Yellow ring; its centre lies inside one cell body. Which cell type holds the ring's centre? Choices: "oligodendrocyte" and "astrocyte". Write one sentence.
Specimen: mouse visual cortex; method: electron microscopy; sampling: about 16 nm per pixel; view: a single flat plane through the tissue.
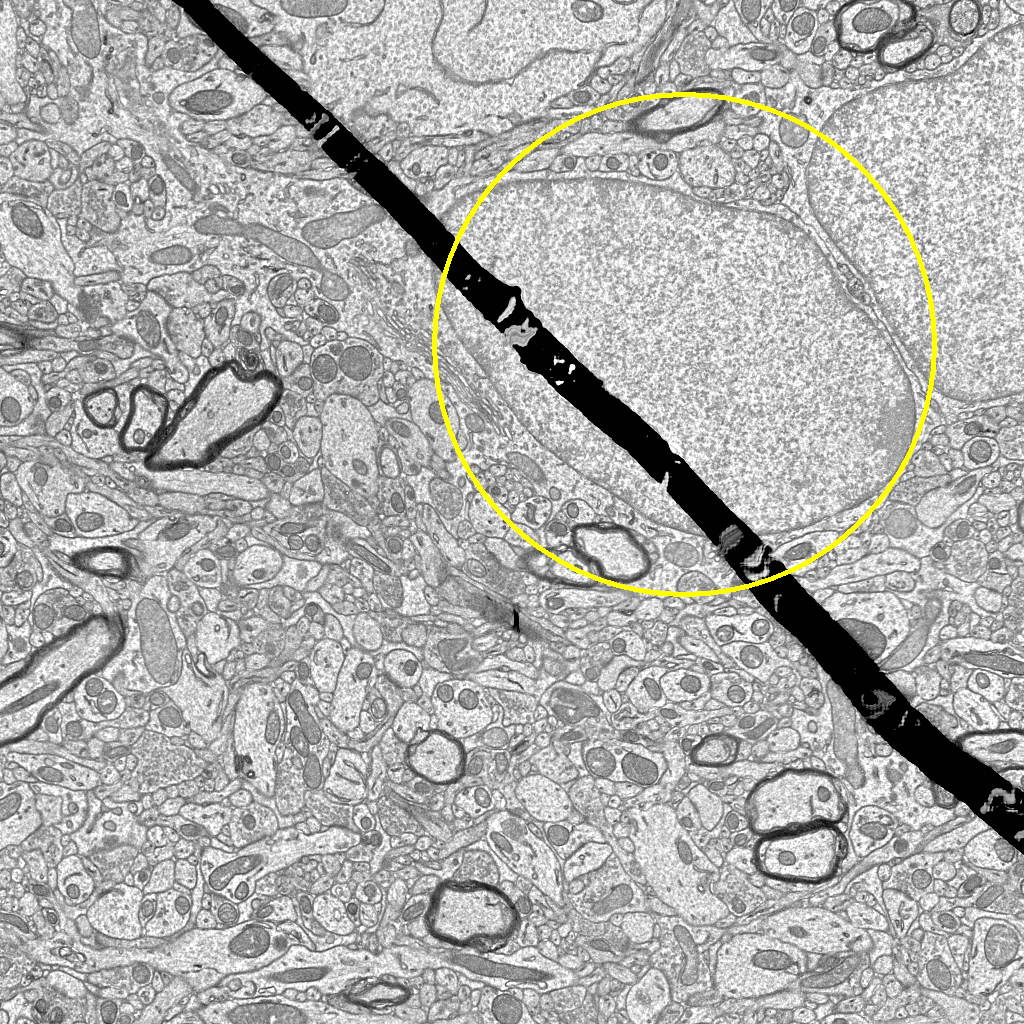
At the centre of the ring sits an astrocyte.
